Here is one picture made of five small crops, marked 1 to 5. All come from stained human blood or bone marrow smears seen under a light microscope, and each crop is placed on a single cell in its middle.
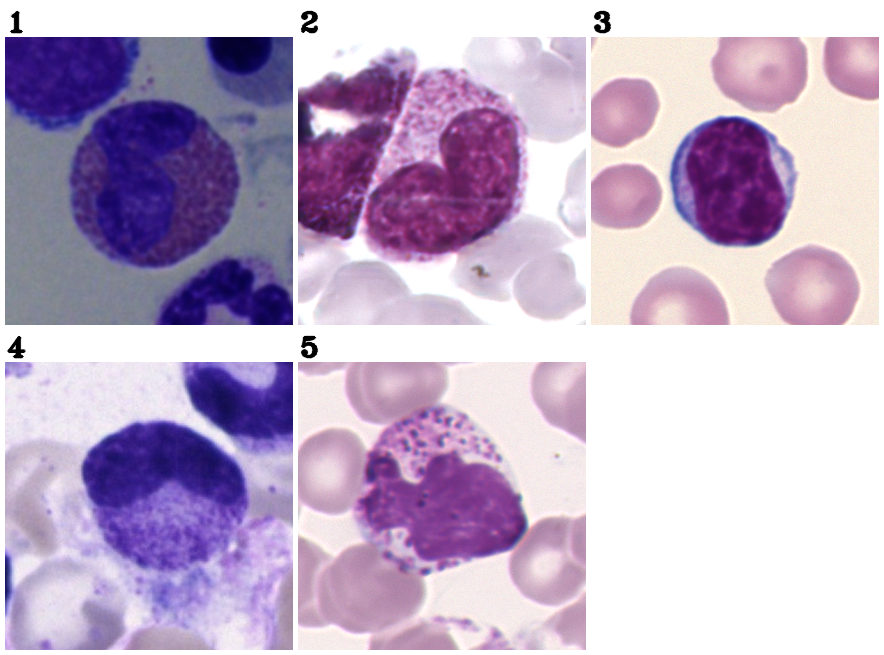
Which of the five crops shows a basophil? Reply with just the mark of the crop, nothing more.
5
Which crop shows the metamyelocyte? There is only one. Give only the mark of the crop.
4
